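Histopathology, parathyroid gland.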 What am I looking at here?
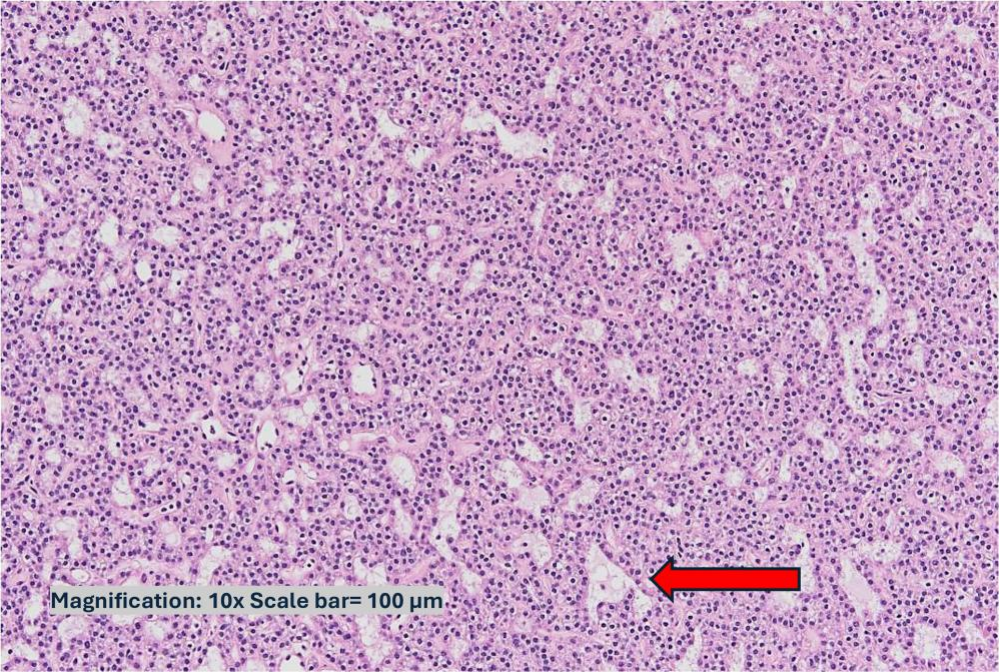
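The whole field is filled with densely packed sheets, nests and cords of uniform, rather small cells. They have round, dark-staining nuclei and pink to pale or clear cytoplasm, and thin pink strands of delicate stroma run between them. Only small clear spaces are scattered among the cells, and fat between the cell groups is scant.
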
